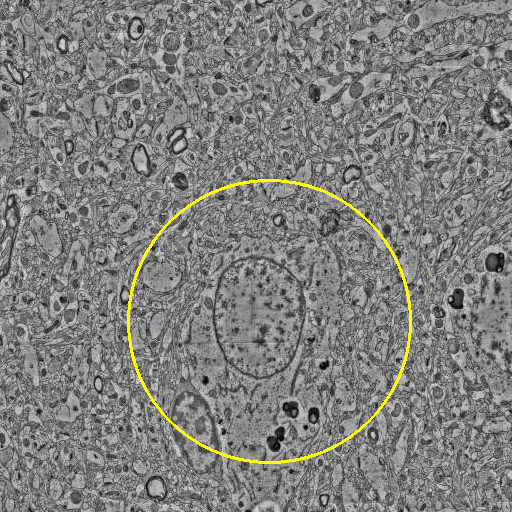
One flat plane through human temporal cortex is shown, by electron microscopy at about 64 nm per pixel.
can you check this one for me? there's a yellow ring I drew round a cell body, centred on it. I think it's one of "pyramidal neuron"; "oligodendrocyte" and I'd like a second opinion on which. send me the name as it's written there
pyramidal neuron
